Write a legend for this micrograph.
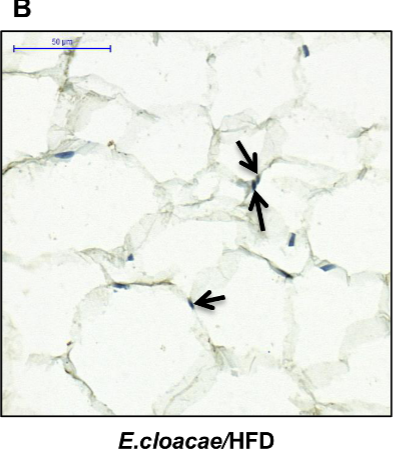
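Adipose tissue made of large adipocytes with single clear, unstained vacuoles and very thin cytoplasmic rims, outlined as a network of fine borders. Flattened, elongated blue nuclei sit at the cell edges. The adipocytes appear large, with few small cells among them. Brown-stained cells are sparse; only a few small cells in the septa, marked by arrows, show faint brown staining. No clusters of small cells are seen between the fat cells.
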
